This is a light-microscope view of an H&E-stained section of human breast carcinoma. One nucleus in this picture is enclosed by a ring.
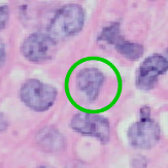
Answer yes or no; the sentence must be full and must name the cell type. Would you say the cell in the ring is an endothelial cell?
No, it is not as an endothelial cell but as a carcinoma cell that the cell in the ring is classed.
